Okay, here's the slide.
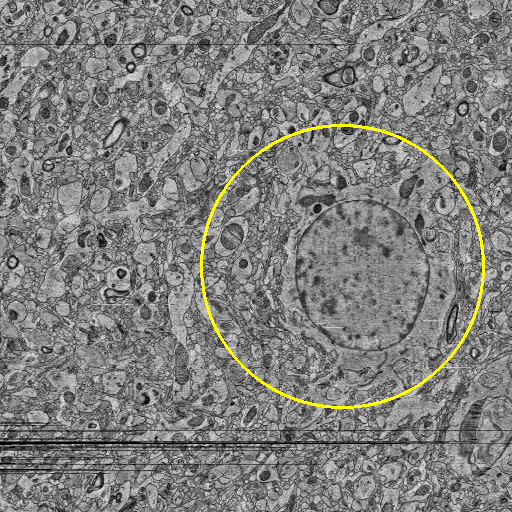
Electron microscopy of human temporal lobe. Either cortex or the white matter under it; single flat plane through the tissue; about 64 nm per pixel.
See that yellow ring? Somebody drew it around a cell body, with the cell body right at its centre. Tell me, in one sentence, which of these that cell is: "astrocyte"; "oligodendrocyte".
The cell in the middle of the ring is an astrocyte.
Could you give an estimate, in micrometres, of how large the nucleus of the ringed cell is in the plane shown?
In this plane the nucleus measures roughly 10 by 9 micrometres.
